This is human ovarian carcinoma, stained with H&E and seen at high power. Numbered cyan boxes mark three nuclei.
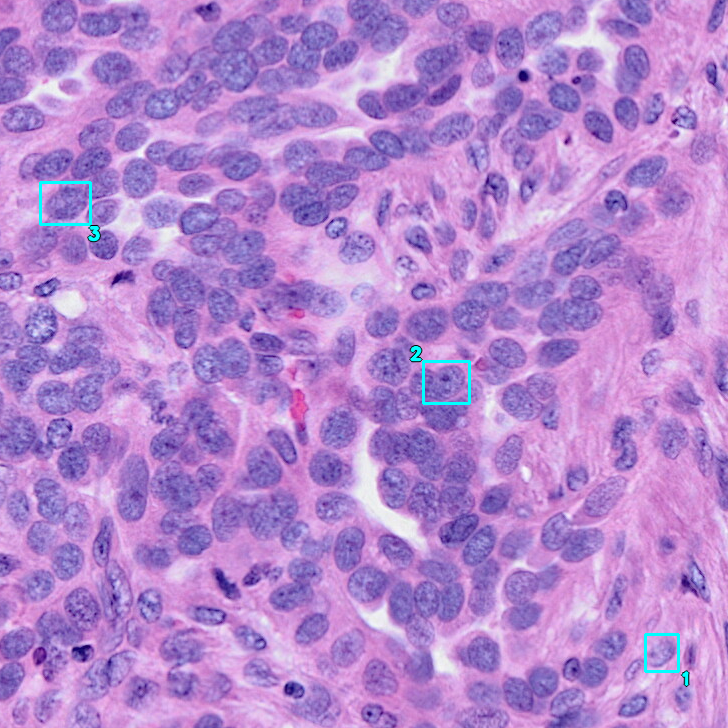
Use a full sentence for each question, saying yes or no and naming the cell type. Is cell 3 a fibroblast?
No, cell 3 does not represent a fibroblast; it represents a carcinoma cell.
